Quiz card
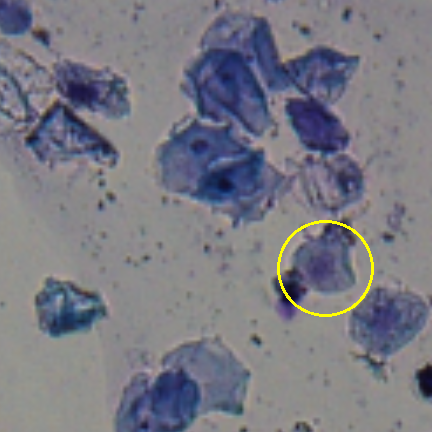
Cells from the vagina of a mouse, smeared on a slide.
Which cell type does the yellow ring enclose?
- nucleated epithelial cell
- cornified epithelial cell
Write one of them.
nucleated epithelial cell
